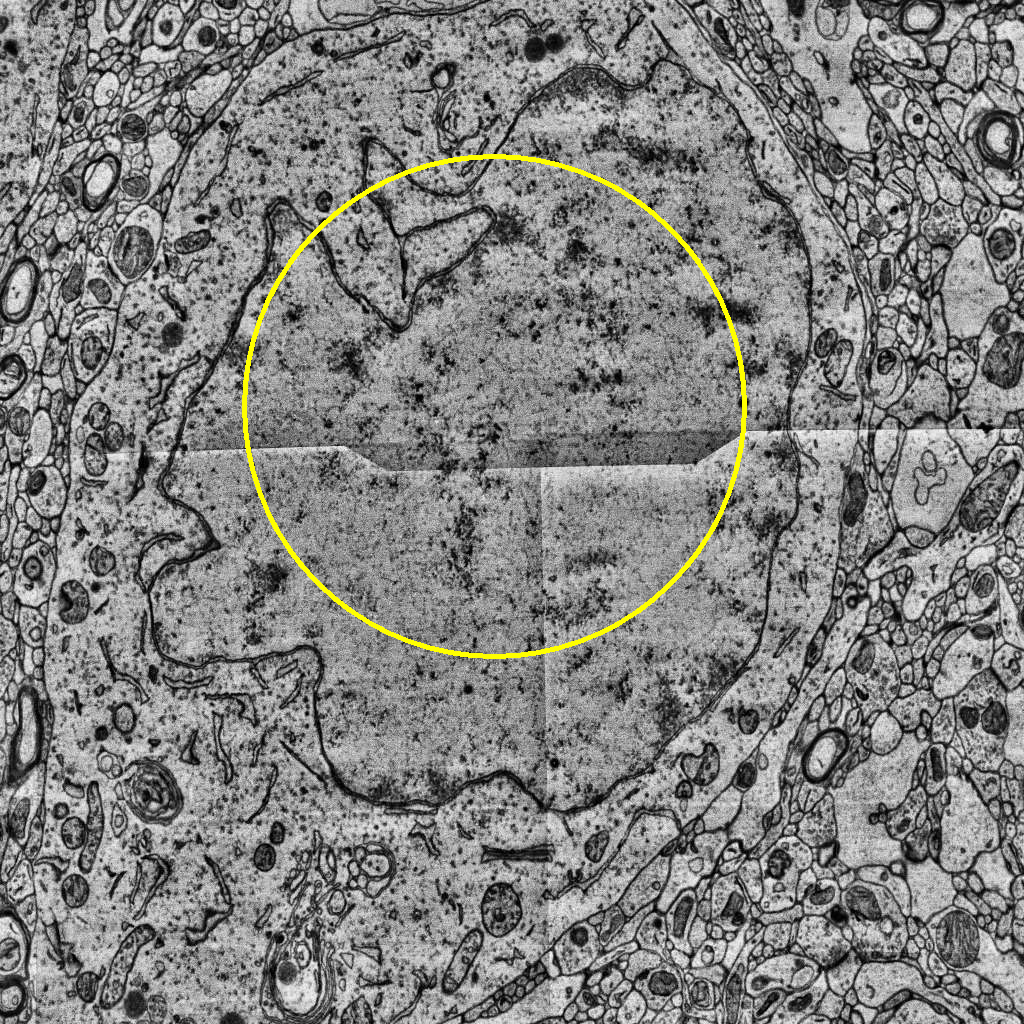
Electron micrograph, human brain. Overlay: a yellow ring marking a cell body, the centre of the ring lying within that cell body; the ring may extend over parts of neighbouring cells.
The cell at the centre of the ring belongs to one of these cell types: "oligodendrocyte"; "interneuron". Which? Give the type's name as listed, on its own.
interneuron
